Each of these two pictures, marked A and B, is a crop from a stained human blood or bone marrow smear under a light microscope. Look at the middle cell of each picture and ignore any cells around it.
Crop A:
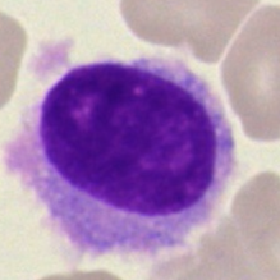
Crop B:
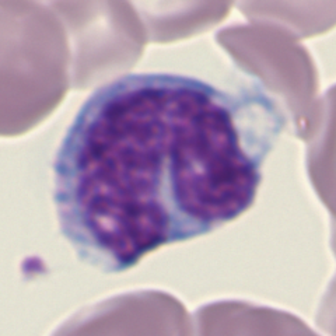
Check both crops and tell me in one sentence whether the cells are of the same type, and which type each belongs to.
No, a hairy cell is in crop A, while a monocyte is in crop B.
